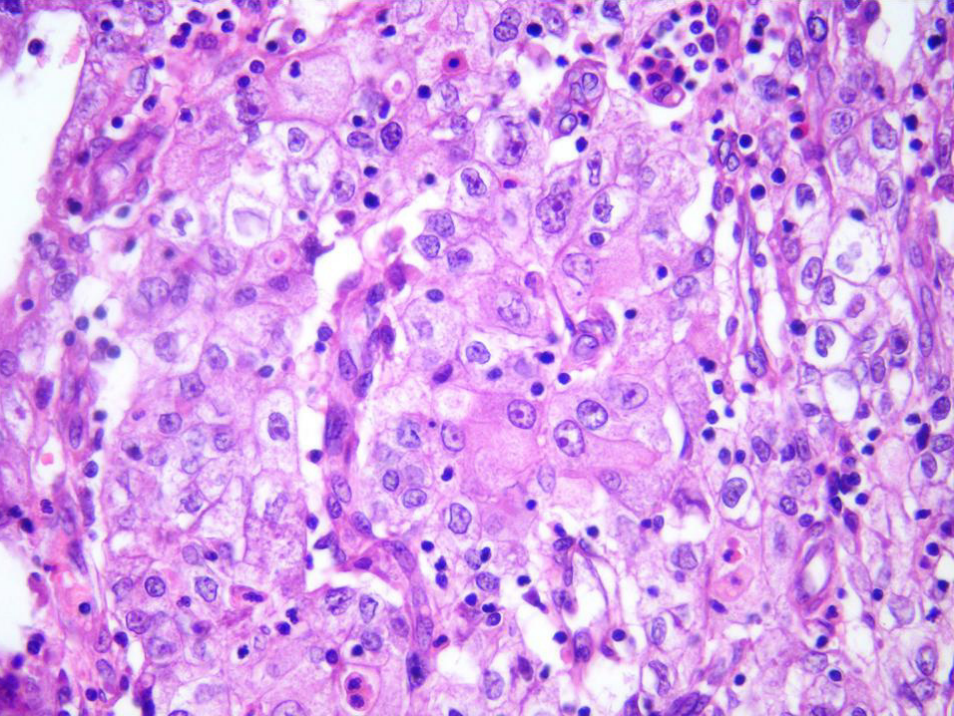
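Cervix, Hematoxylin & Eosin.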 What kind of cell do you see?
Glassy cells.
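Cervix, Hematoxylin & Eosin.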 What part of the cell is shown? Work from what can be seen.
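Many of the large pale nuclei hold a conspicuous dark, round nucleolus. The nucleoli stand out against open, pale chromatin. That points to this answer: prominent nucleoli.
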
